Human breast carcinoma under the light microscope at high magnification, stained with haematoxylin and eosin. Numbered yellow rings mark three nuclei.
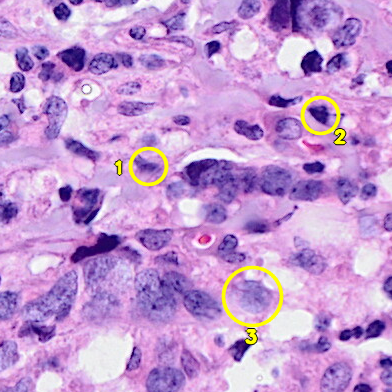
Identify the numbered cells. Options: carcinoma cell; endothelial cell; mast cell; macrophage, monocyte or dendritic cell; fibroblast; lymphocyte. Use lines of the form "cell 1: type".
cell 1: macrophage, monocyte or dendritic cell
cell 2: lymphocyte
cell 3: carcinoma cell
